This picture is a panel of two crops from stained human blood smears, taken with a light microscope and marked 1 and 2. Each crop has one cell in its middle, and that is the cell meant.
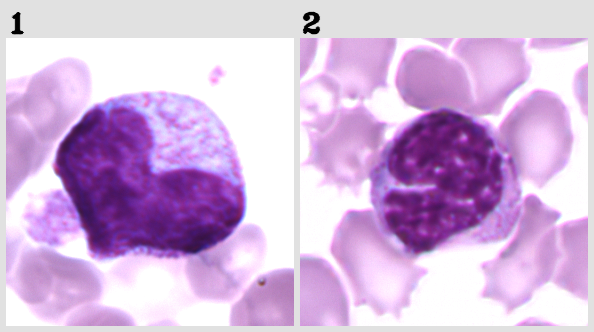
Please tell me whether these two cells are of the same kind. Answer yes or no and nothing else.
yes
